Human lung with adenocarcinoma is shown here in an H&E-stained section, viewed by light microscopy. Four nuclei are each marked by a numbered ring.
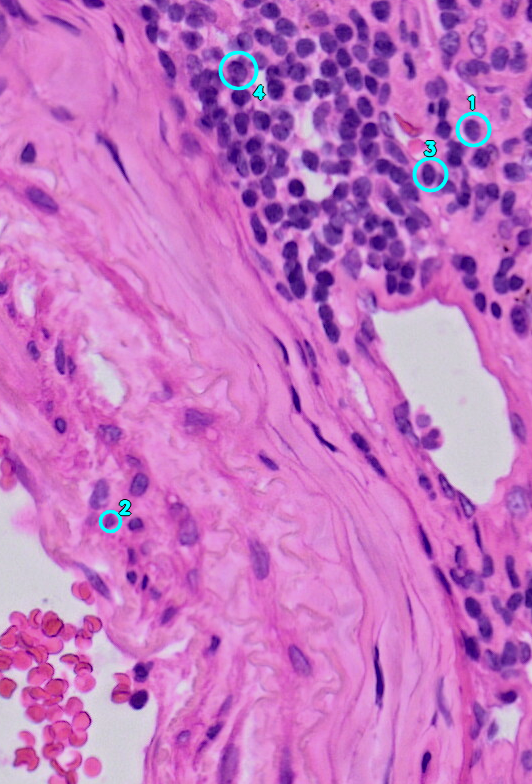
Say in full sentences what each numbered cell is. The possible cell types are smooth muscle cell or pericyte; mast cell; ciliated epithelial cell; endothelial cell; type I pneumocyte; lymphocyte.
Cells 1, 3 and 4 are lymphocytes. Cell 2 is a smooth muscle cell or pericyte.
